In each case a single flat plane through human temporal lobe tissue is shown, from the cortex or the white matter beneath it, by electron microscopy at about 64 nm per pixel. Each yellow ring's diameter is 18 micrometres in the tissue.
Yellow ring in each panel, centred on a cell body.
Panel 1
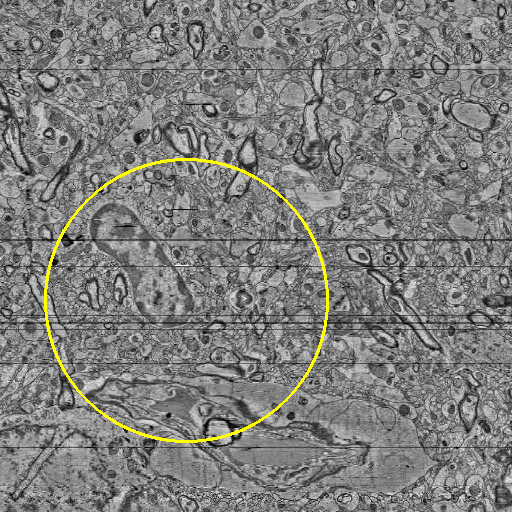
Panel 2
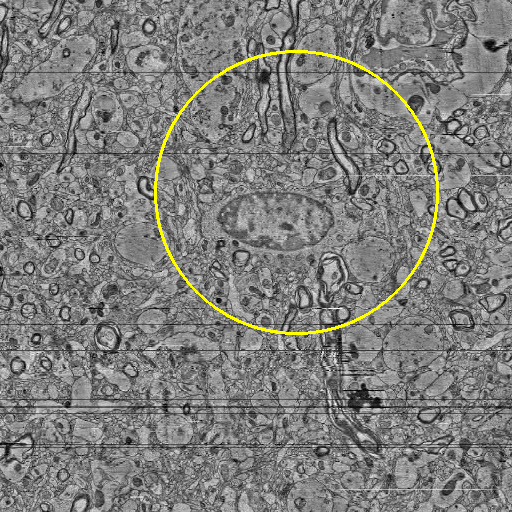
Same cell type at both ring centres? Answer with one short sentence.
No, the two cells are of two types.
